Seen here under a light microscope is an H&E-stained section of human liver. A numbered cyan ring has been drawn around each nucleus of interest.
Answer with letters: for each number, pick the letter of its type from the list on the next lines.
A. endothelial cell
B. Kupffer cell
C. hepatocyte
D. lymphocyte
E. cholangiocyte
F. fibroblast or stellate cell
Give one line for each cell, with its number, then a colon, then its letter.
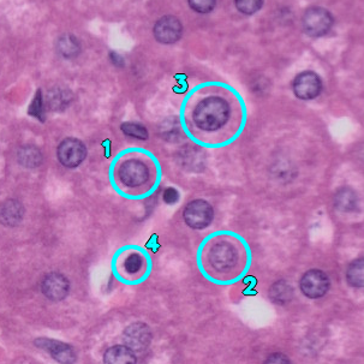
1: C
2: C
3: C
4: D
